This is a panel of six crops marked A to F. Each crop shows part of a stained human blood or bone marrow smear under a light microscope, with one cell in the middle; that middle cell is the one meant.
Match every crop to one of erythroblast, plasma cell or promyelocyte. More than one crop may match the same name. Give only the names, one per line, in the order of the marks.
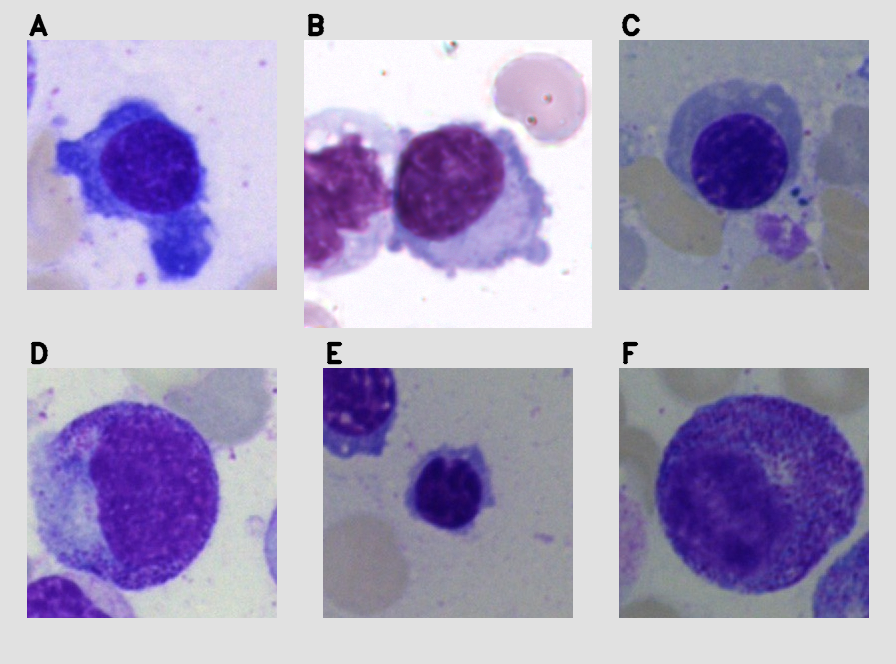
plasma cell
plasma cell
erythroblast
promyelocyte
erythroblast
promyelocyte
